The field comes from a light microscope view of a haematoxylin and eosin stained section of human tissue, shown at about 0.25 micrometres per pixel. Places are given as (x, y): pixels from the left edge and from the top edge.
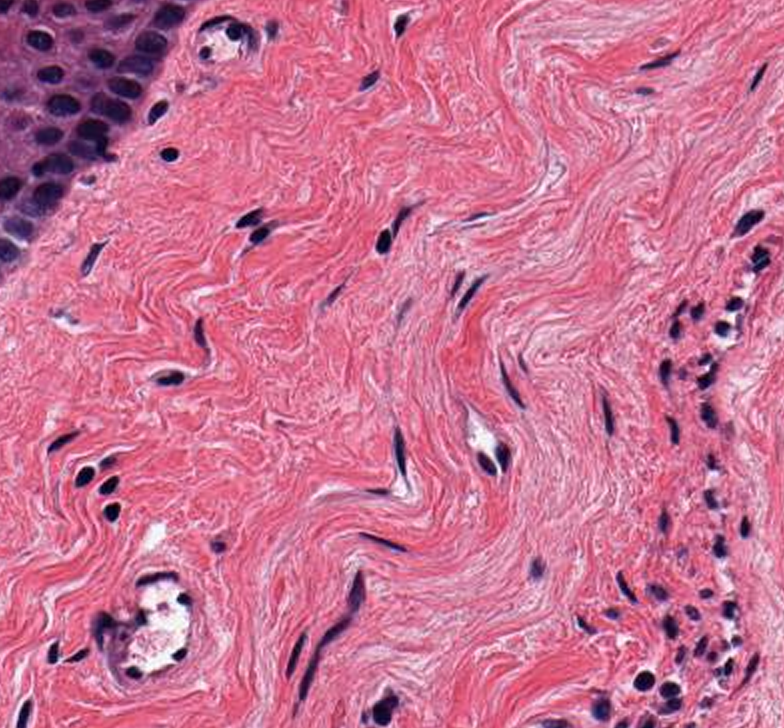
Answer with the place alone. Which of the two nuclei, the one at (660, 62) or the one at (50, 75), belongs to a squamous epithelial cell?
(50, 75)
